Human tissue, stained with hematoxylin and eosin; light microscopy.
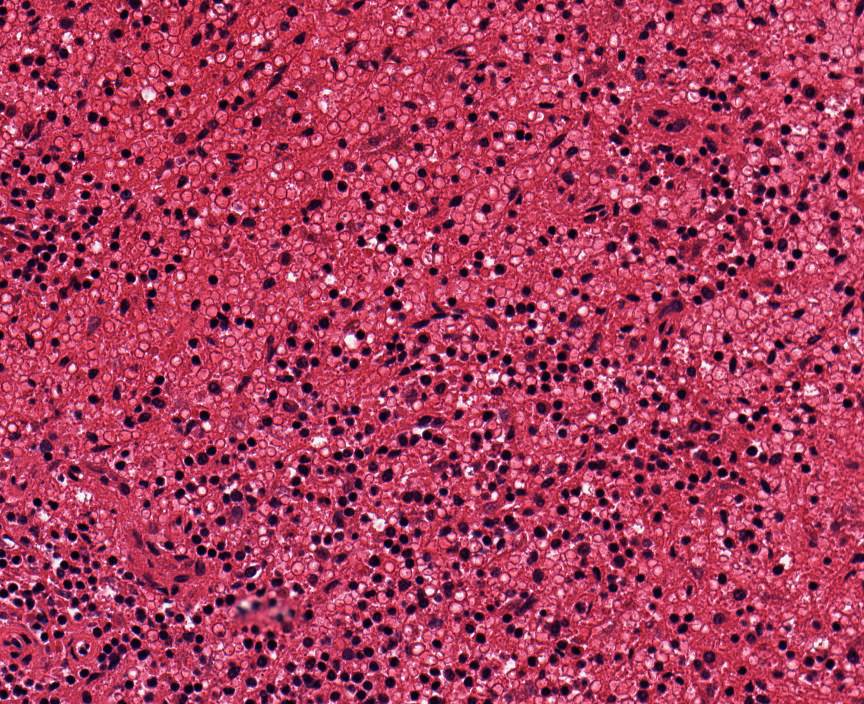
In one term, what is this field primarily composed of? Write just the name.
red pulp of the spleen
